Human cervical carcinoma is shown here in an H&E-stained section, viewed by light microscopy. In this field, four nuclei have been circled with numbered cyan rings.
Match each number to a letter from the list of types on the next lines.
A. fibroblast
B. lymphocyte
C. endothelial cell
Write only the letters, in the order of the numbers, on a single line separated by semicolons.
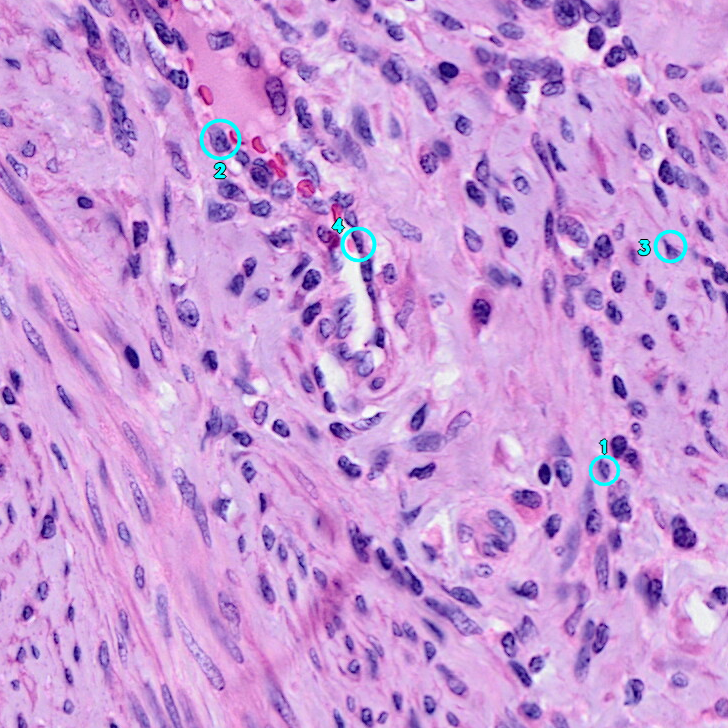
B; C; A; C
